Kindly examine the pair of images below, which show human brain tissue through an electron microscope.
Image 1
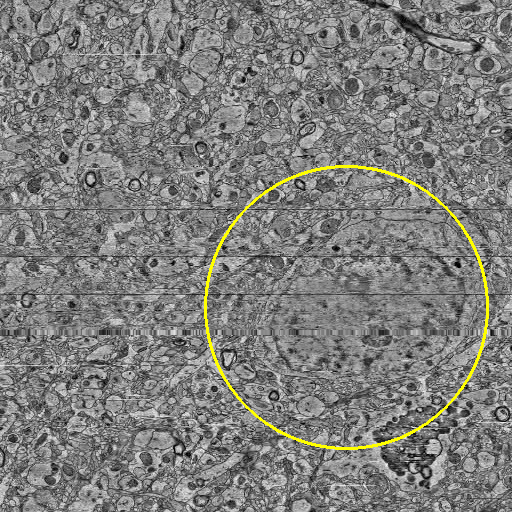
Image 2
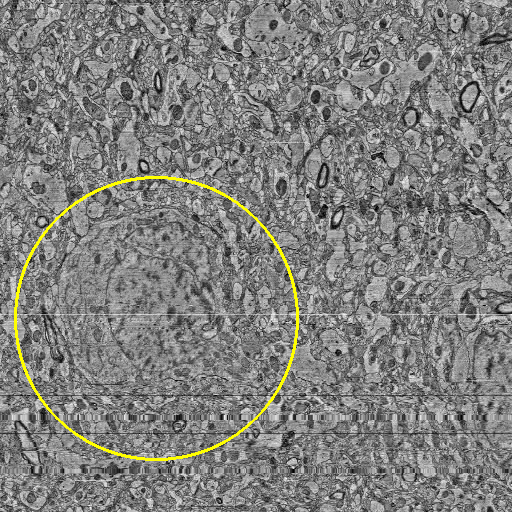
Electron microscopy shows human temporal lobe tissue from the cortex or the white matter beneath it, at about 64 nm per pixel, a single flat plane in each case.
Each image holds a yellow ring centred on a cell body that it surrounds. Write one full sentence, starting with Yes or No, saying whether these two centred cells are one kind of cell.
Yes, both cells at the centres of the yellow rings belong to one kind of cell.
